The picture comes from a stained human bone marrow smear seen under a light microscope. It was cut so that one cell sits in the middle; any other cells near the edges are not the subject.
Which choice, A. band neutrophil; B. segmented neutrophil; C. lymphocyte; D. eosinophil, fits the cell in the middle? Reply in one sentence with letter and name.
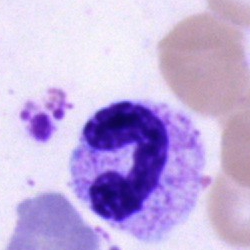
The cell in the middle is a band neutrophil, and so option A is correct.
